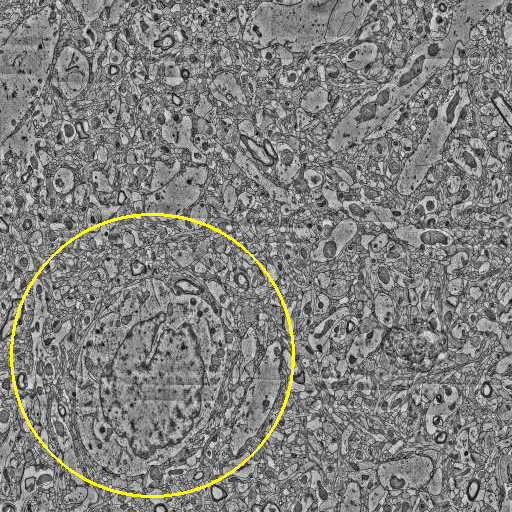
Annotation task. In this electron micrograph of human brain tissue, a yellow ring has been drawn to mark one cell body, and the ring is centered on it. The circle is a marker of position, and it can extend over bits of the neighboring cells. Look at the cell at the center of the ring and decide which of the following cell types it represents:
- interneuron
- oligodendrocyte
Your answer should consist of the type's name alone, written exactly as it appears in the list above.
interneuron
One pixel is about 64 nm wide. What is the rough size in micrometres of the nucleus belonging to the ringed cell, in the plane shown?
The nucleus appears roughly 9 by 7 micrometres in this plane.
